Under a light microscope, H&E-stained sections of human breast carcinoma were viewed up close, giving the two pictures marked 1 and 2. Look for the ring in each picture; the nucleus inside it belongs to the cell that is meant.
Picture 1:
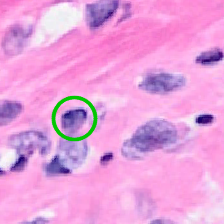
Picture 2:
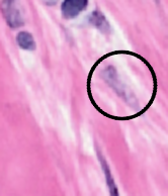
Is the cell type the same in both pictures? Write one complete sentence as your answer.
No. Picture 1 shows a lymphocyte, but picture 2 shows a fibroblast.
